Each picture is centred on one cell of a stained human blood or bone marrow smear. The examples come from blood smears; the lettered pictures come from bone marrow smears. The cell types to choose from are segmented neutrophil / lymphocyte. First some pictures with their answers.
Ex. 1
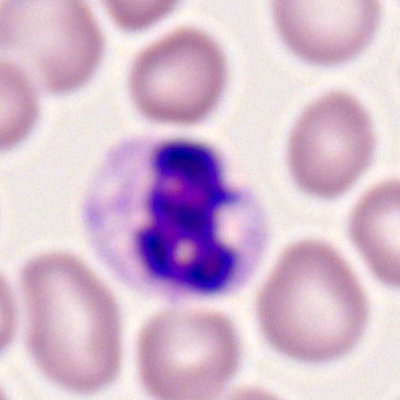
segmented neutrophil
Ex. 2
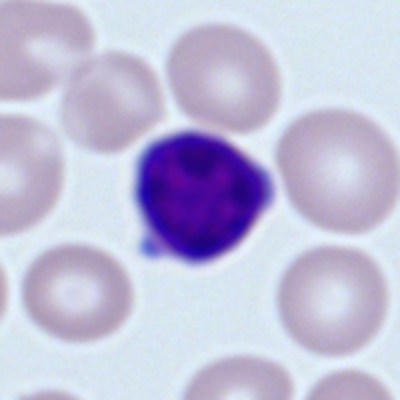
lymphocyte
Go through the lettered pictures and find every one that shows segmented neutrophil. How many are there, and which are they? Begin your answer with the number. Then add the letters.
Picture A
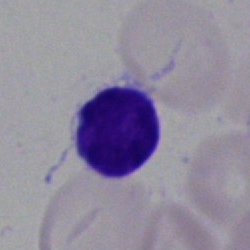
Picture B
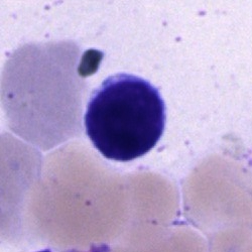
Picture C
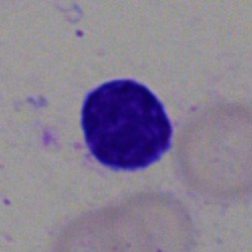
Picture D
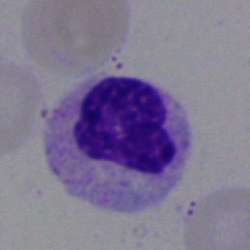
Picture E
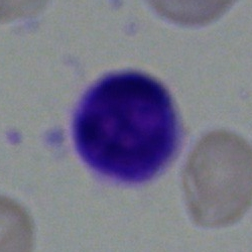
1: D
